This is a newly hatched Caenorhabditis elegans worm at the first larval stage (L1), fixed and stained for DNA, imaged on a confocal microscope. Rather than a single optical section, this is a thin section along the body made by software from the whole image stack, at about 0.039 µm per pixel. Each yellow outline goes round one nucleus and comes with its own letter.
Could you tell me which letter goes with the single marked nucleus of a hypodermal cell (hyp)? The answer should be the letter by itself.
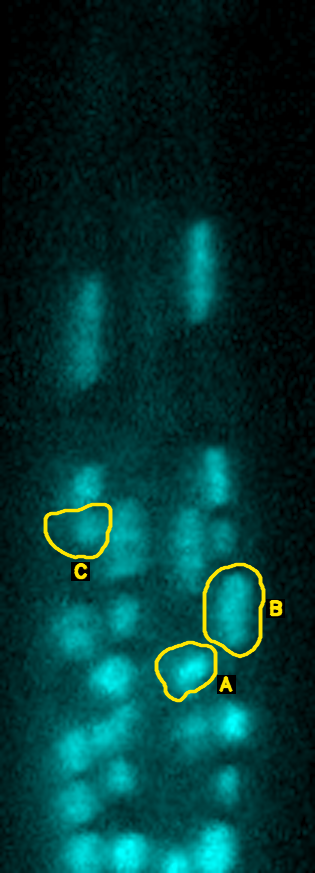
C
